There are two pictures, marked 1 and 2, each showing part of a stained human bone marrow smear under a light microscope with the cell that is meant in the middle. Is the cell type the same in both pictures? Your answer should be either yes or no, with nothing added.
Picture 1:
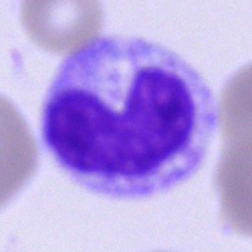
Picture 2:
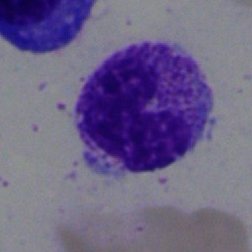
yes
